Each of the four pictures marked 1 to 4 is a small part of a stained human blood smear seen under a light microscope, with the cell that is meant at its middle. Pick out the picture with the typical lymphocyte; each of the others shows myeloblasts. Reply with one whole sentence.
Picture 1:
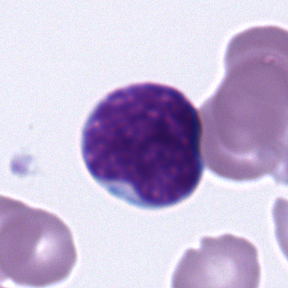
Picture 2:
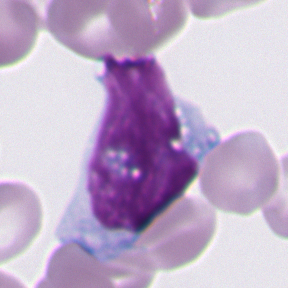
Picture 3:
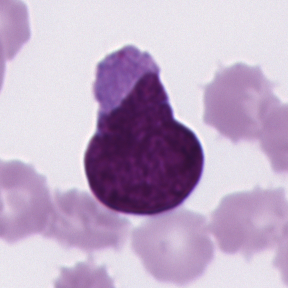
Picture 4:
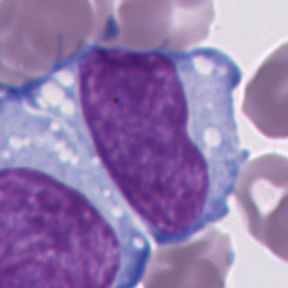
The typical lymphocyte is the one in picture 2.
